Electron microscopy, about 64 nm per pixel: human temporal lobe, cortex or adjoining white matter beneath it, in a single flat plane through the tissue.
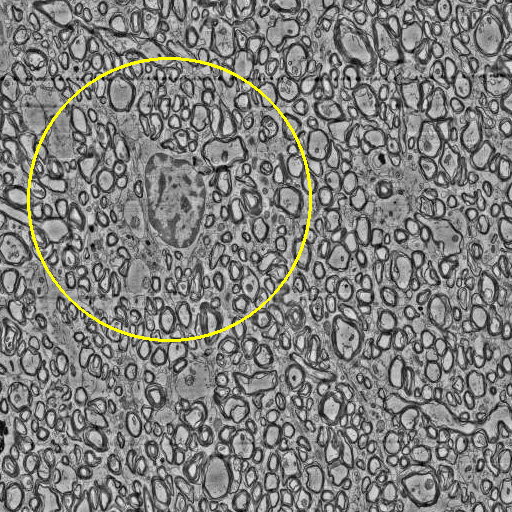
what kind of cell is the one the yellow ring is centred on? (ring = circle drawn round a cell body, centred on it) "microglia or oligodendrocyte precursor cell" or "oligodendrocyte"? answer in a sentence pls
The ring is drawn around a microglial cell or oligodendrocyte precursor cell.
